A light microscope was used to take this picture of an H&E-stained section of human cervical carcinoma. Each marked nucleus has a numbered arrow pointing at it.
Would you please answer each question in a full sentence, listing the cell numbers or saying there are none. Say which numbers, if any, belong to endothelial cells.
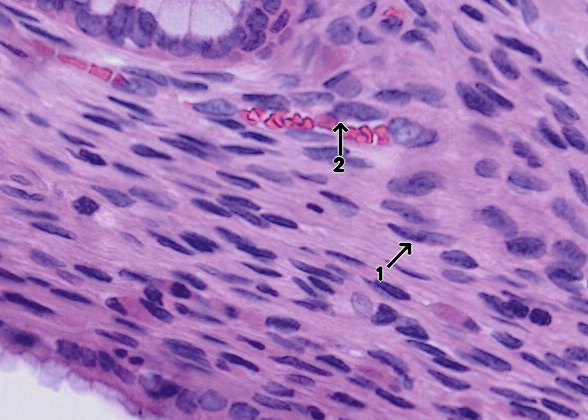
Only number 2 is an endothelial cell; none of the others are.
